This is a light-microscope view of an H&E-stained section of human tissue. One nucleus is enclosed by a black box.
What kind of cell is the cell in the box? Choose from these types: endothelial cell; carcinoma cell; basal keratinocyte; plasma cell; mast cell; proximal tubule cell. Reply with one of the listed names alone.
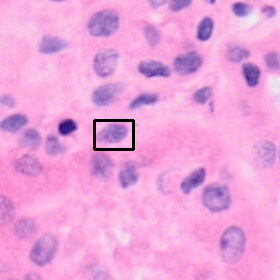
endothelial cell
